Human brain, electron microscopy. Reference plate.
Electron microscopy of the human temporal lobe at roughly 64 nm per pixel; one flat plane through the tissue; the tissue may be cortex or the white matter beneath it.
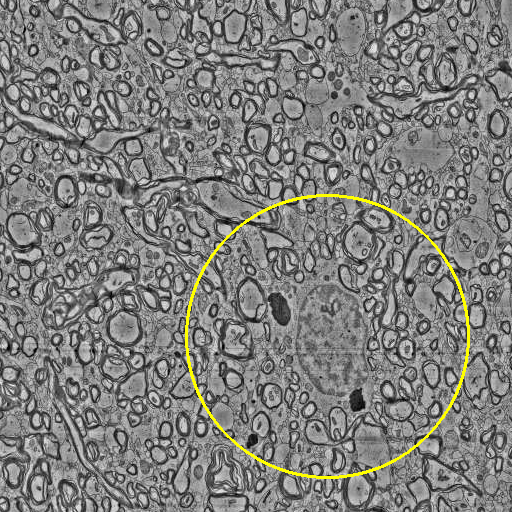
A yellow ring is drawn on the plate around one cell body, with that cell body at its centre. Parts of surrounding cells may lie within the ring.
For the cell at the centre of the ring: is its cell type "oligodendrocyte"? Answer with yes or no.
Yes, that is its cell type.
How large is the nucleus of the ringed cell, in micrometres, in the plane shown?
In this plane the nucleus spans approximately 8 by 5 micrometers.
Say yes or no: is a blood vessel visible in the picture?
No.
